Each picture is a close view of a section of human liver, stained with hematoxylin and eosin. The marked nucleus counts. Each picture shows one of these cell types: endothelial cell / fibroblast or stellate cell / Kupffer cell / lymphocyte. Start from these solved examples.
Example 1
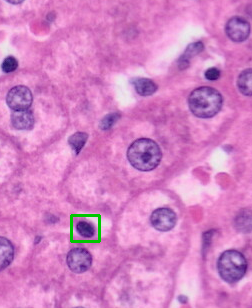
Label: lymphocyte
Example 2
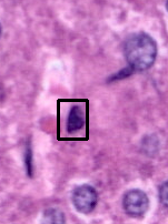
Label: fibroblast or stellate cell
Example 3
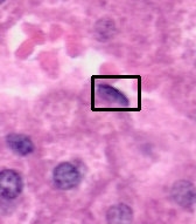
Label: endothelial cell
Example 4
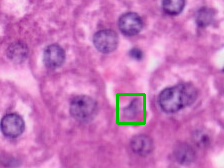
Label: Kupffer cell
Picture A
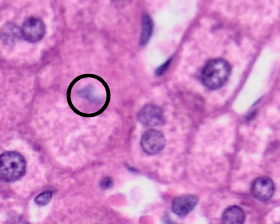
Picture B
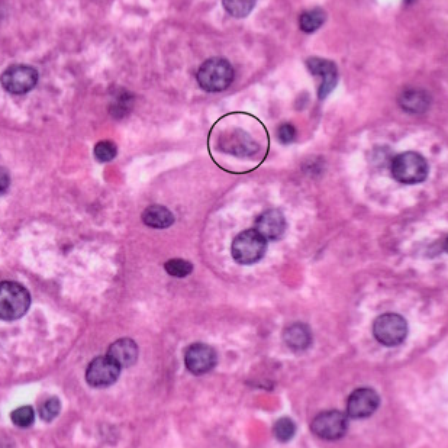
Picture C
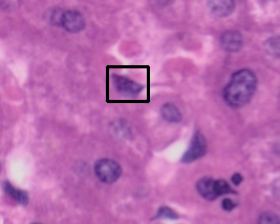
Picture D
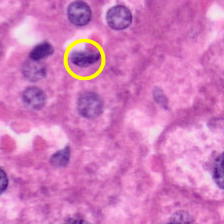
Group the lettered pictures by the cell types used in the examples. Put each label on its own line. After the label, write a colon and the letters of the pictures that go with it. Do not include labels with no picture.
endothelial cell: A, C, D
Kupffer cell: B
